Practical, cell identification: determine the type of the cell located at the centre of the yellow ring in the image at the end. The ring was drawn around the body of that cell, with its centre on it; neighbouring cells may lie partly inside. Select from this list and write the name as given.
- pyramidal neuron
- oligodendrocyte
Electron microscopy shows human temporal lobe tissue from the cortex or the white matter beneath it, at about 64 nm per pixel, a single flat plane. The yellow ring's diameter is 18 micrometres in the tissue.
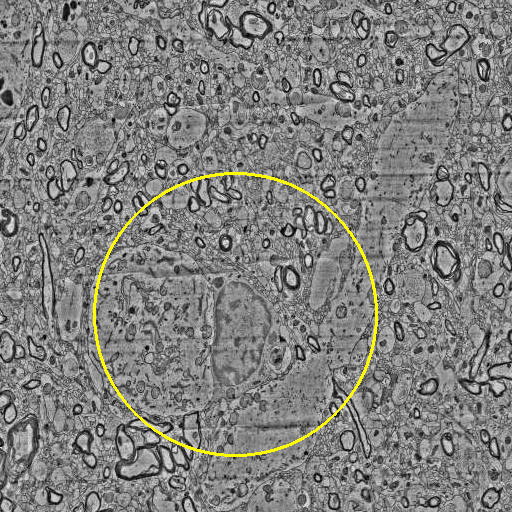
oligodendrocyte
